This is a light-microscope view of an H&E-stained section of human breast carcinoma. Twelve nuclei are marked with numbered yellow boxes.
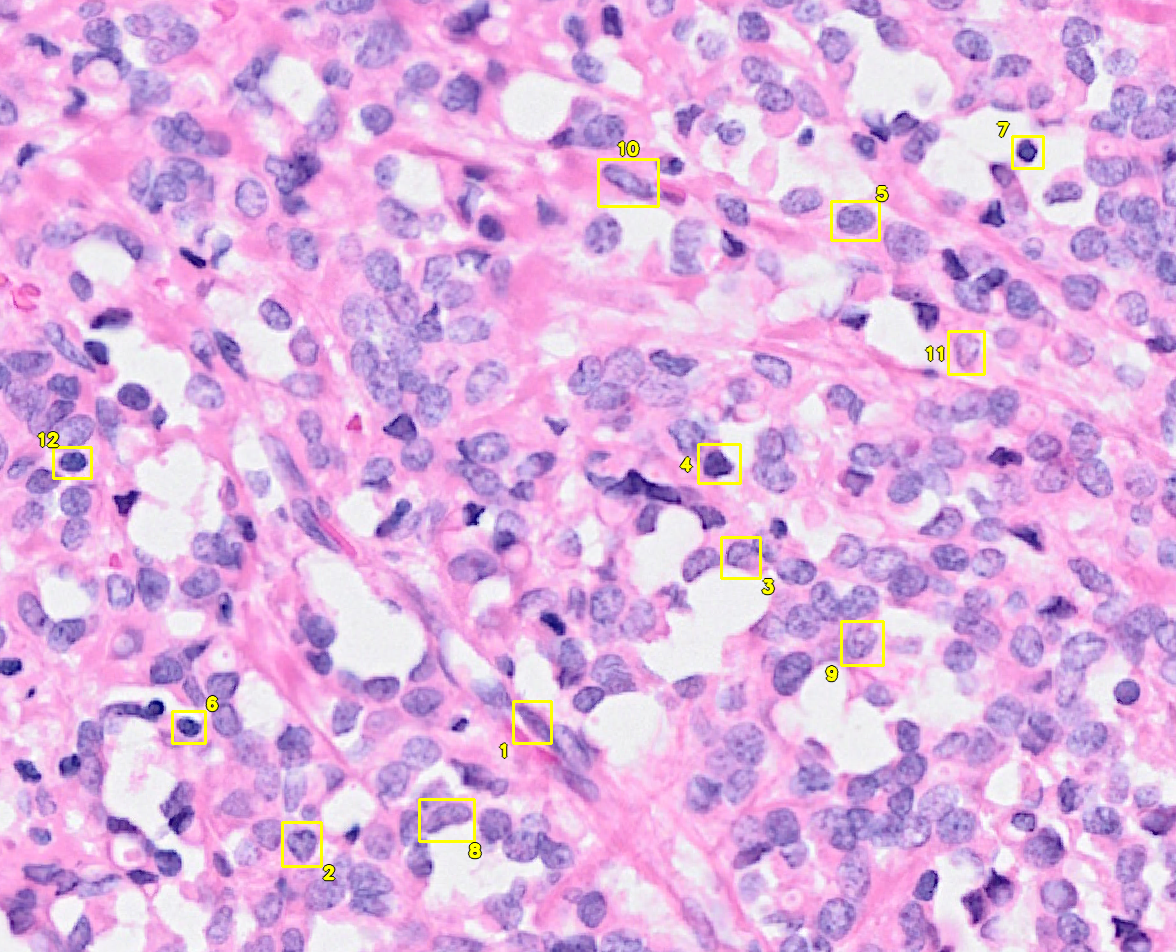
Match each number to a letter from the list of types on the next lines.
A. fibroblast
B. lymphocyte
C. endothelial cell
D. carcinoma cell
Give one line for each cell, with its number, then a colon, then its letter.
1: C
2: D
3: D
4: D
5: D
6: B
7: B
8: D
9: D
10: C
11: D
12: B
